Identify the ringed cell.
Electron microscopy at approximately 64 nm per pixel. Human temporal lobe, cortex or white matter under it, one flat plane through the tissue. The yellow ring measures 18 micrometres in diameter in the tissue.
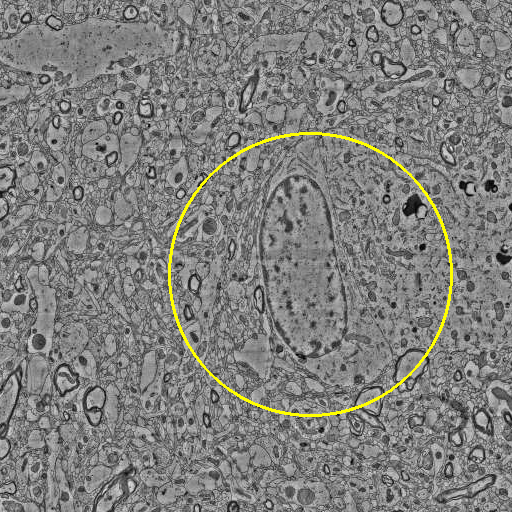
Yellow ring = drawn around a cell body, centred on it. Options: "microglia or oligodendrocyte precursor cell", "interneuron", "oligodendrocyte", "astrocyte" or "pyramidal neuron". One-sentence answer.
What the ring is centred on is a microglial cell or oligodendrocyte precursor cell.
